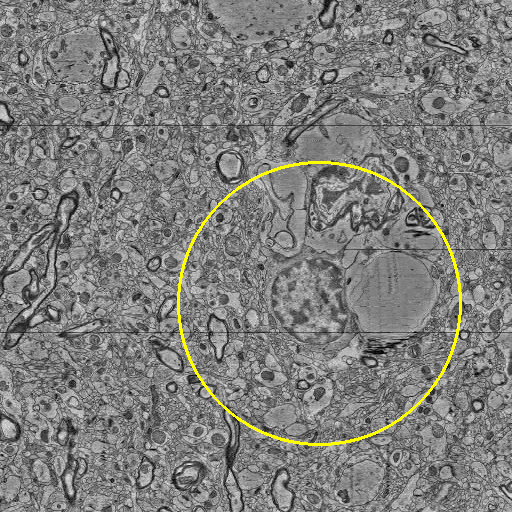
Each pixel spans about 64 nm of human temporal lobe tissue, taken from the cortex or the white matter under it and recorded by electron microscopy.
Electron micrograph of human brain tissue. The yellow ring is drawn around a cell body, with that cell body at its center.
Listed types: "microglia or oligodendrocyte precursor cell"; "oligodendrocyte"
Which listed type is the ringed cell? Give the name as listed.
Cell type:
oligodendrocyte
